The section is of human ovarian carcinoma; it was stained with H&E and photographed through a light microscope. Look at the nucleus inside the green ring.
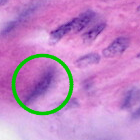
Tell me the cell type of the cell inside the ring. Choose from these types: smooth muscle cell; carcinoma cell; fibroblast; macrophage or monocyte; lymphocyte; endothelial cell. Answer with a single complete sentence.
It is as a smooth muscle cell that the cell inside the ring is classified.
